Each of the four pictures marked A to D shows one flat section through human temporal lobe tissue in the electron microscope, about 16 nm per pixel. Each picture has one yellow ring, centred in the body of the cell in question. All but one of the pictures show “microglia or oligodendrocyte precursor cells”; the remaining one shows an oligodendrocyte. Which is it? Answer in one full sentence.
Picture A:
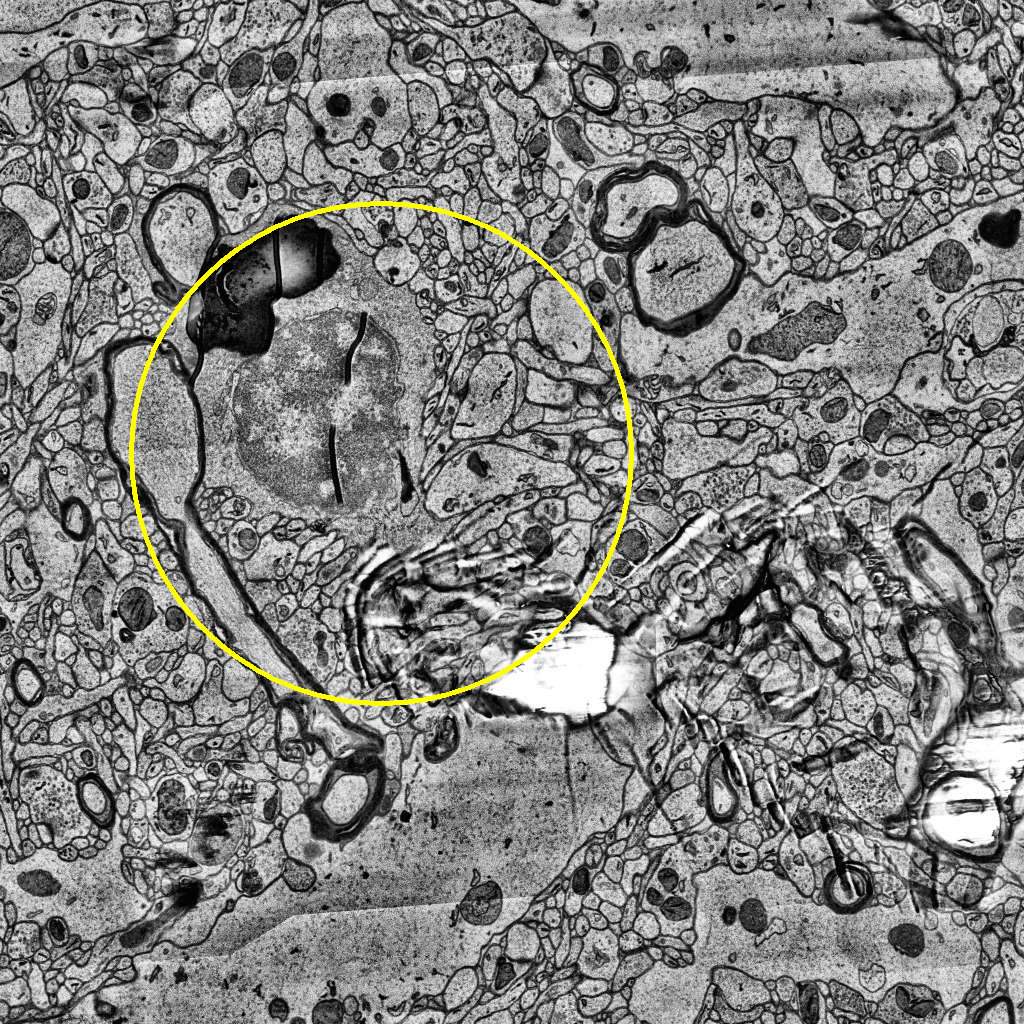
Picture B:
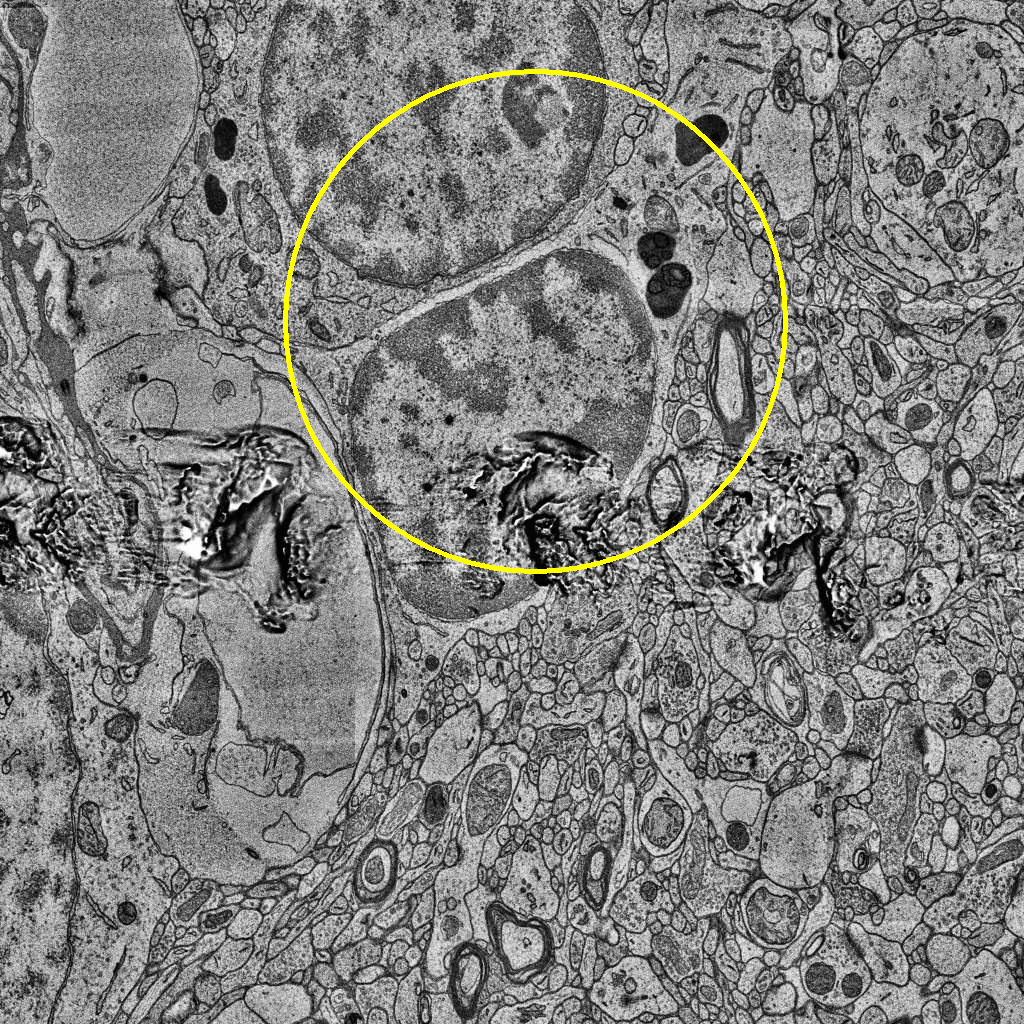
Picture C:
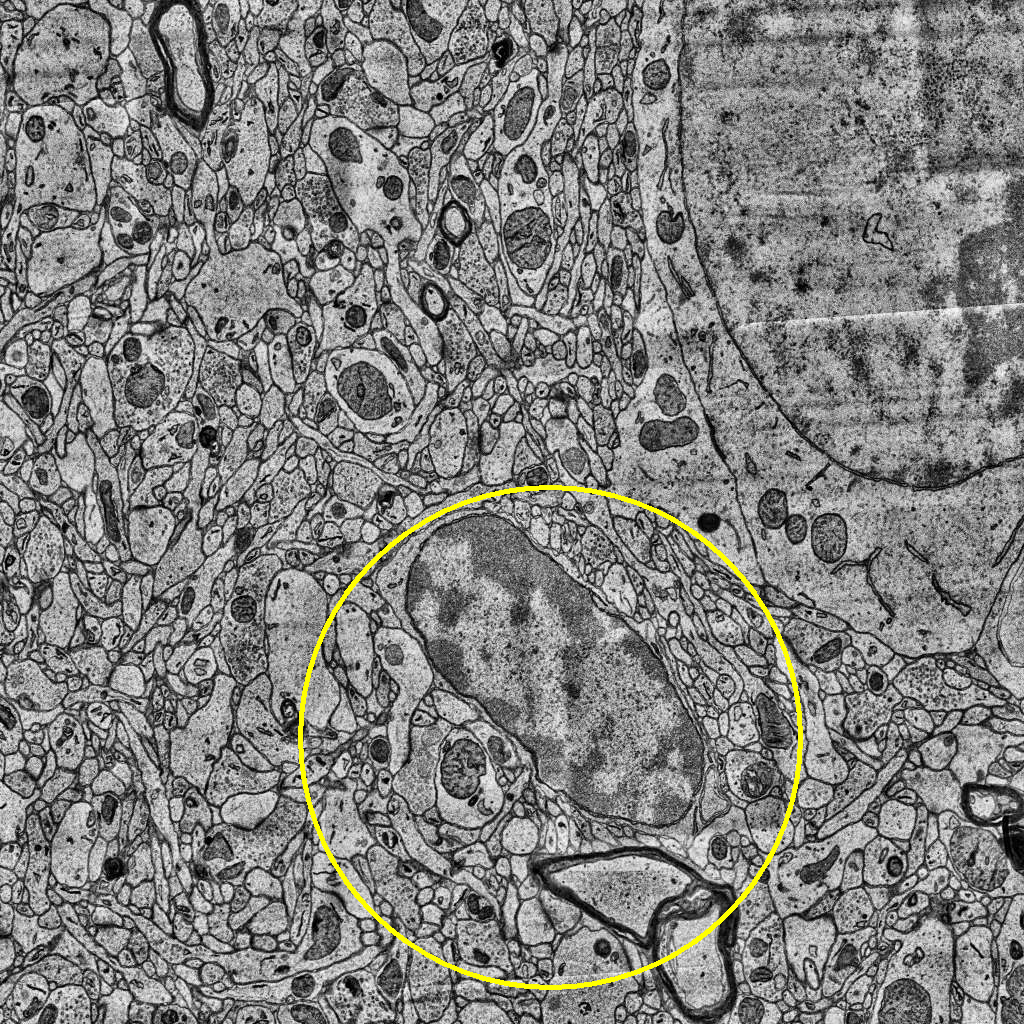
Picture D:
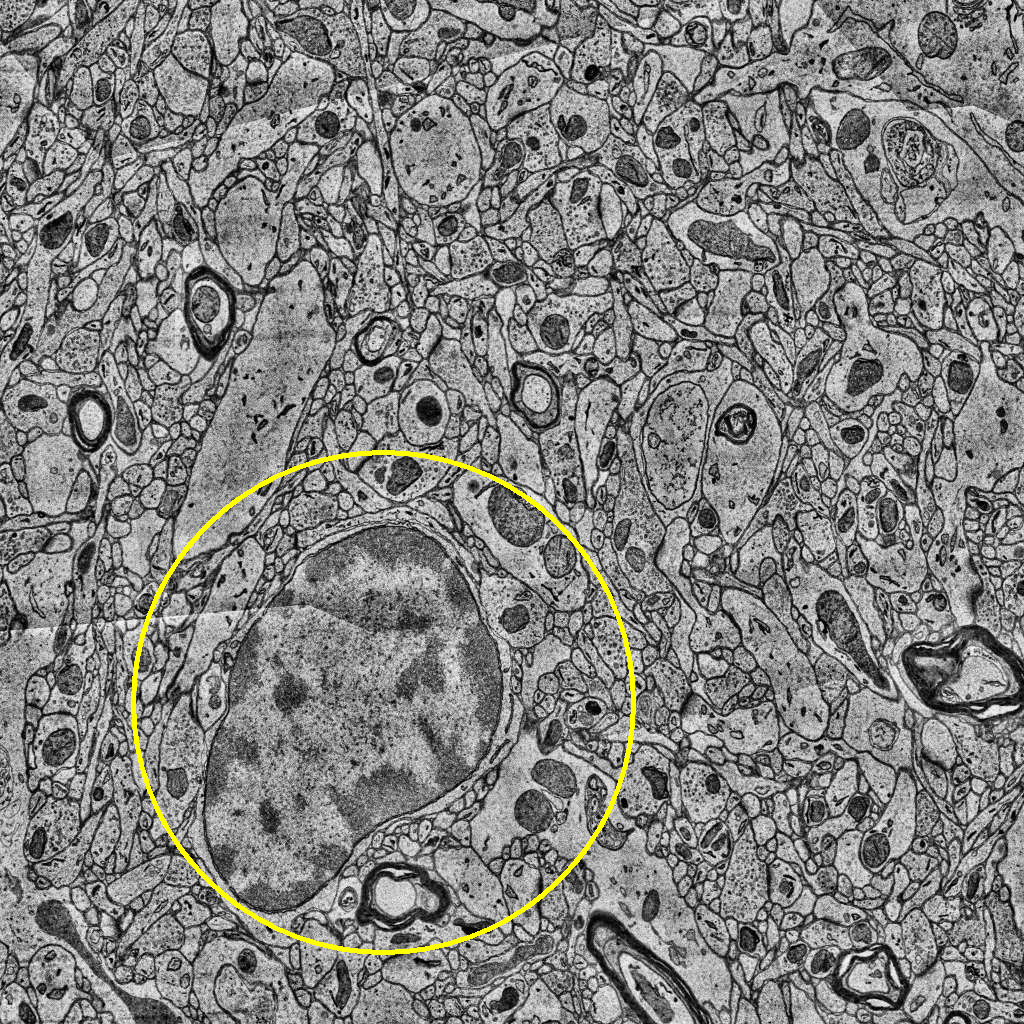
Picture A is the one that shows the oligodendrocyte.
